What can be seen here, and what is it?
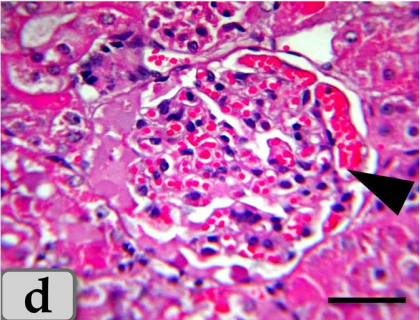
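A glomerulus occupies the centre, its capillary loops densely filled with red blood cells among purple nuclei of the tuft. A vessel at the edge of the corpuscle is distended with red blood cells, and surrounding tubules show pink cytoplasm.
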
